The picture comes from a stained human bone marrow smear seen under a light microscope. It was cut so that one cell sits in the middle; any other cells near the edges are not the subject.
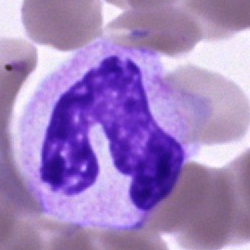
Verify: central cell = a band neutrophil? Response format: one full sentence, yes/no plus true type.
Yes, the middle cell here is a band neutrophil.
